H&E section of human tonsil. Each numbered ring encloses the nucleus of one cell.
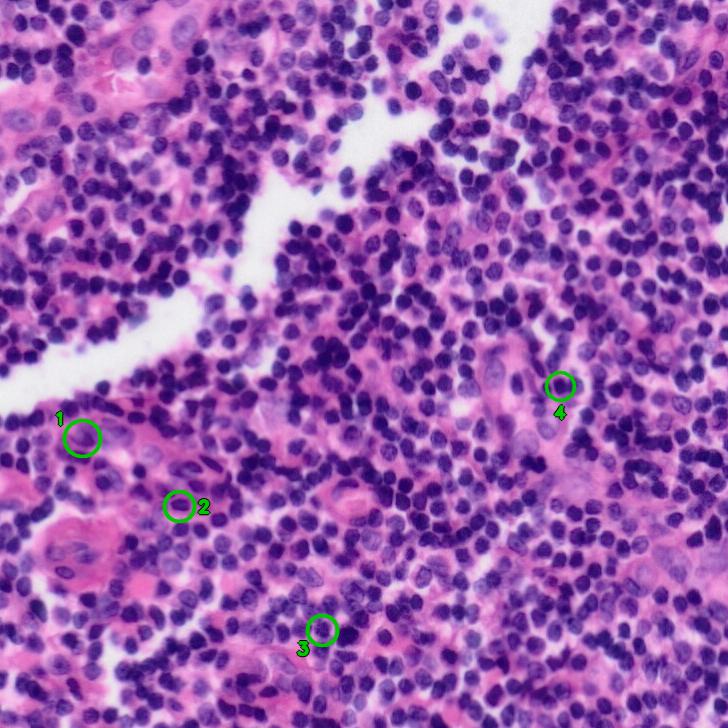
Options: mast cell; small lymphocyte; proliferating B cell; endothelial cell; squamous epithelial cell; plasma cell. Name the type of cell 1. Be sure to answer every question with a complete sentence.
In this section, number 1 marks an endothelial cell.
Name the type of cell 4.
Among the marked cells, number 4 is a small lymphocyte.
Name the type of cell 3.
The cell numbered 3 has been identified as a small lymphocyte.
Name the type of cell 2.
The correct label for cell 2 is an endothelial cell.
